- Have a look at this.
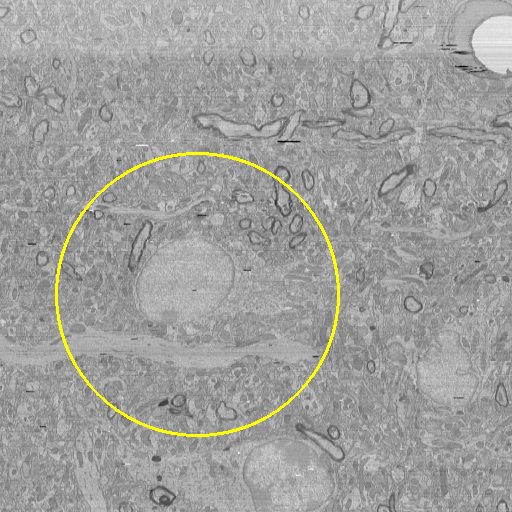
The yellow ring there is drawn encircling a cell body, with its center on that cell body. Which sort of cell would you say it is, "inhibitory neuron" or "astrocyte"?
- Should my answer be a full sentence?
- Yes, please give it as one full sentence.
For this picture, an astrocyte is the cell where the yellow ring has its center.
